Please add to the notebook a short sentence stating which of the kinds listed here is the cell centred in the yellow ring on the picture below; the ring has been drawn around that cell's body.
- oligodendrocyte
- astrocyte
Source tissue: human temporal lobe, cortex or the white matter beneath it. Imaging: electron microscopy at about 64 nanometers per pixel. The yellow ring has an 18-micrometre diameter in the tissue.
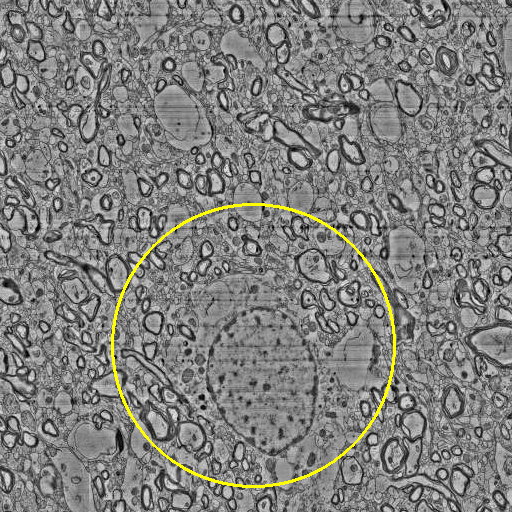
The cell centred in the yellow ring is an astrocyte.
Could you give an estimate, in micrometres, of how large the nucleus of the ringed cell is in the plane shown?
The ringed cell's nucleus is about 9 micrometres long and 7 micrometres wide in this plane.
